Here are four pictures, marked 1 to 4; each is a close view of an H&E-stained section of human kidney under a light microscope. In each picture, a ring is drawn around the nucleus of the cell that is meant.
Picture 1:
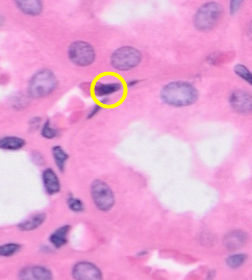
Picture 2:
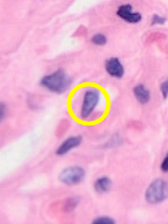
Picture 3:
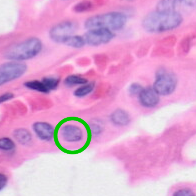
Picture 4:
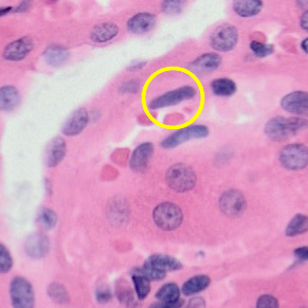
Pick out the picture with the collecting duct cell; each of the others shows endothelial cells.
3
